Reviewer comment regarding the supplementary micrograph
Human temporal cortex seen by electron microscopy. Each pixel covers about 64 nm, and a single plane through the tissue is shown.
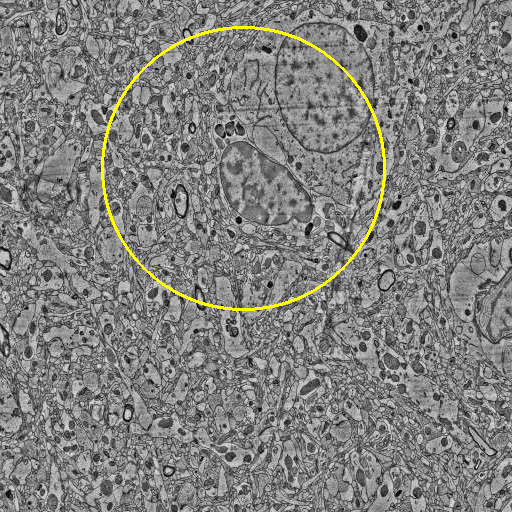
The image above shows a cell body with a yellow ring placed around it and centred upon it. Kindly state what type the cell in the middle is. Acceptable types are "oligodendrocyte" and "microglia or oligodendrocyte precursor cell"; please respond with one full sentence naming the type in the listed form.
In the image above, the cell on which the yellow ring is centred is a microglial cell or oligodendrocyte precursor cell.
